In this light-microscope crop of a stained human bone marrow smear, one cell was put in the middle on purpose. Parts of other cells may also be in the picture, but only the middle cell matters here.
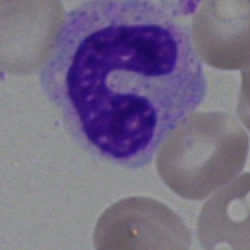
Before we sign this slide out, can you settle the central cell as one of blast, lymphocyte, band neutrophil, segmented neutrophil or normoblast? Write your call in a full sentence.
This particular crop is centered on a band neutrophil.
